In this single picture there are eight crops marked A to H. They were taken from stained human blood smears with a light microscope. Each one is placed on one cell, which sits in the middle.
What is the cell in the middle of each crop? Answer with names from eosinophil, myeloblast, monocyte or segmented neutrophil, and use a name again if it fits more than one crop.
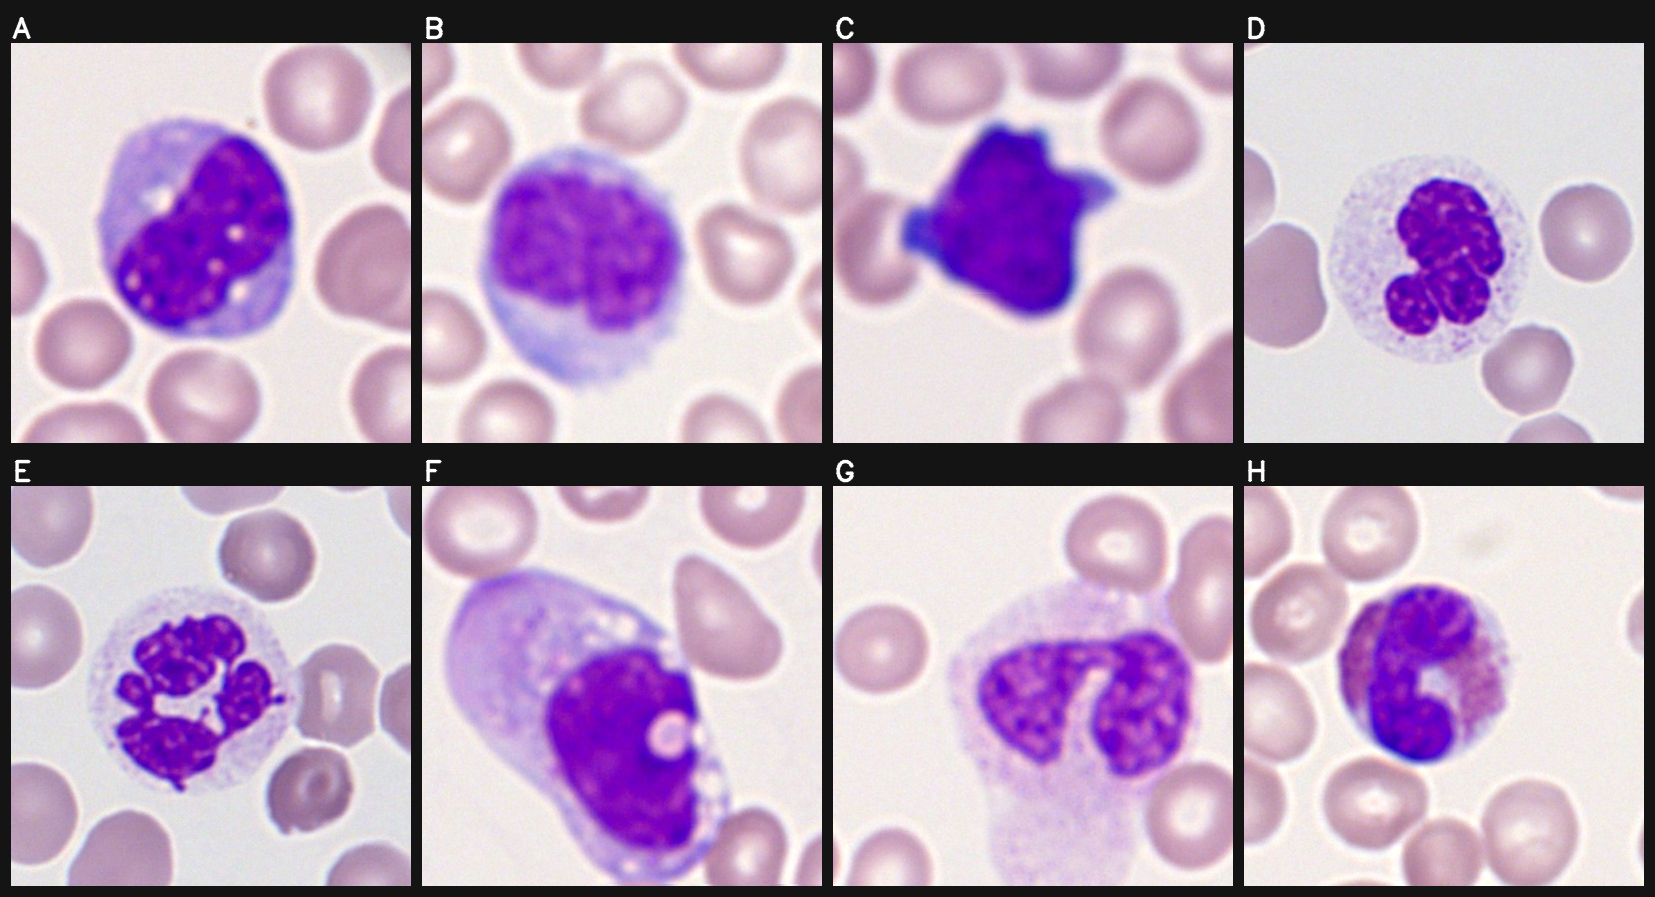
A: monocyte
B: monocyte
C: myeloblast
D: segmented neutrophil
E: segmented neutrophil
F: monocyte
G: monocyte
H: eosinophil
